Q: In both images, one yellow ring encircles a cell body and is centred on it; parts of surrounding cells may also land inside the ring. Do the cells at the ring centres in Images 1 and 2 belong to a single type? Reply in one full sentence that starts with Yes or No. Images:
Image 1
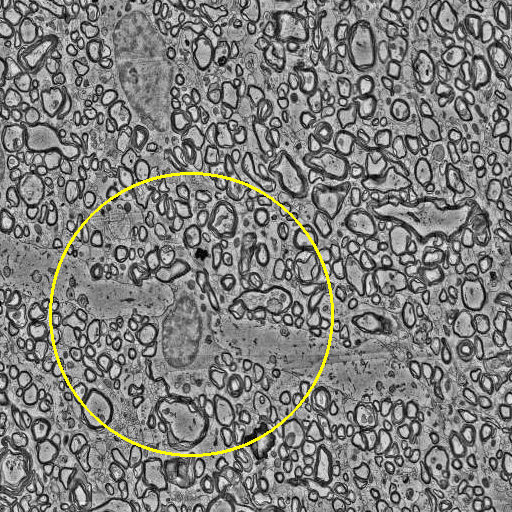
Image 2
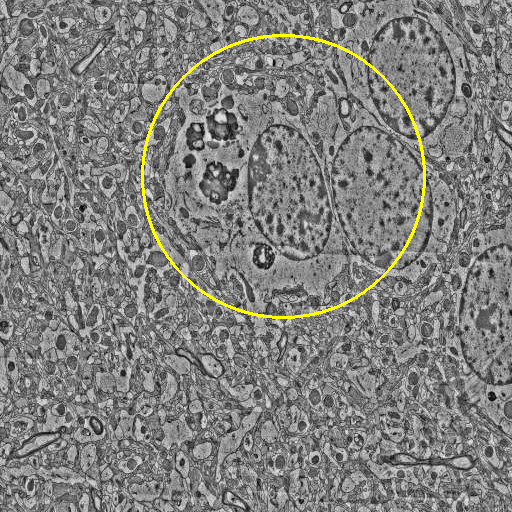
No, the cells at the ring centres in Images 1 and 2 are of two types.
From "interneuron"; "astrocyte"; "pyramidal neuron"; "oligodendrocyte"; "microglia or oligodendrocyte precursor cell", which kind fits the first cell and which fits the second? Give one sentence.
The cell marked in the first picture is an oligodendrocyte, and the one marked in the second is an astrocyte.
